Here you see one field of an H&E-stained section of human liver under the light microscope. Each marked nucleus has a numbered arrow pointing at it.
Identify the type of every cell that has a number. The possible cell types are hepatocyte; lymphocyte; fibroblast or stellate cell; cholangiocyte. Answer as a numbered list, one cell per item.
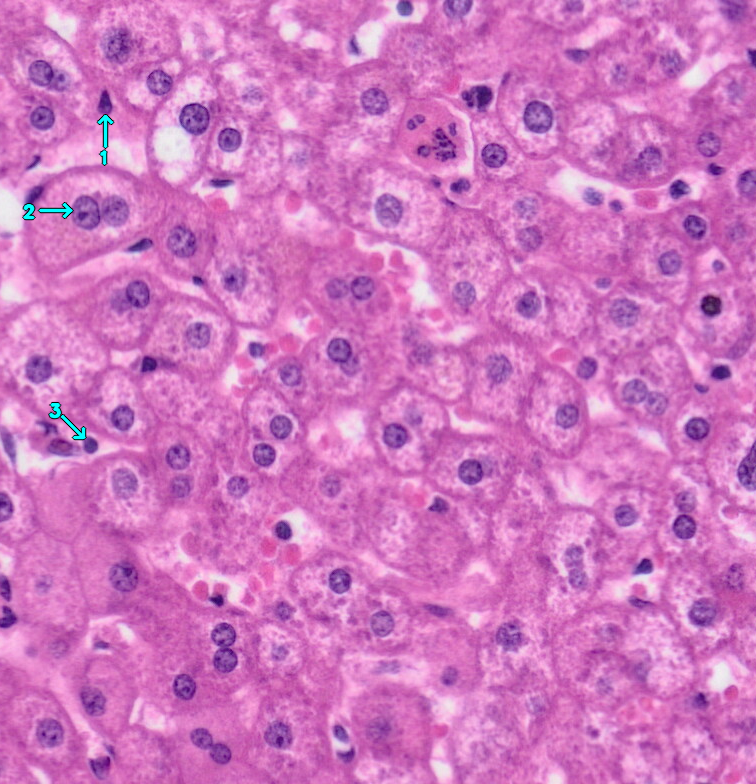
1. fibroblast or stellate cell
2. hepatocyte
3. lymphocyte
